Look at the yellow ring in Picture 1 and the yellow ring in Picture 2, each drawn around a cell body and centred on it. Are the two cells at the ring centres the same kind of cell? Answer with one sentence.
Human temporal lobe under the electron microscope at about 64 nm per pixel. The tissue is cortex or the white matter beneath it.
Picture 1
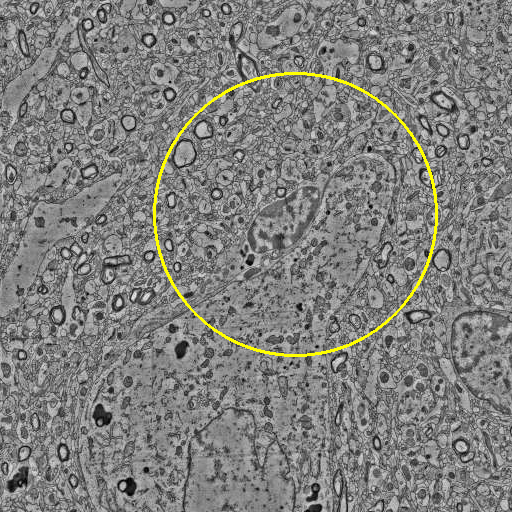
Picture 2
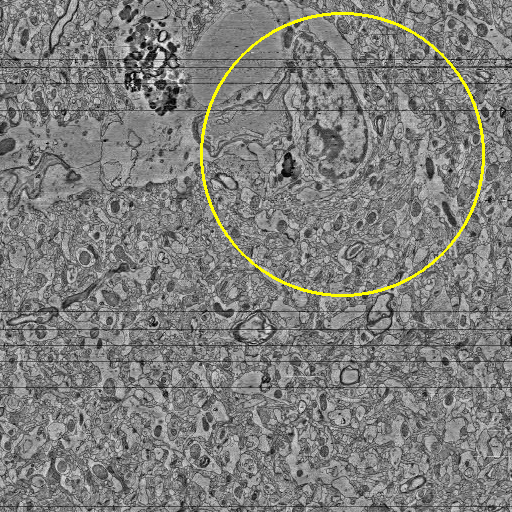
Yes, both are the same kind of cell.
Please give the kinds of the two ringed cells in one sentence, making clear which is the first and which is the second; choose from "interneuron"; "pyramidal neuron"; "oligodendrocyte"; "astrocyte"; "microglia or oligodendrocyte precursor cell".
Each cell, in the first picture and the second, is a microglial cell or oligodendrocyte precursor cell.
